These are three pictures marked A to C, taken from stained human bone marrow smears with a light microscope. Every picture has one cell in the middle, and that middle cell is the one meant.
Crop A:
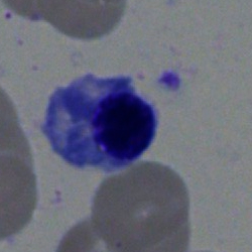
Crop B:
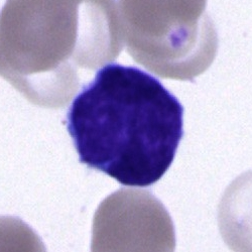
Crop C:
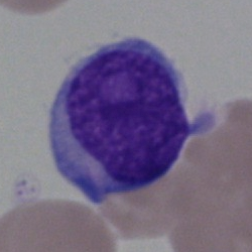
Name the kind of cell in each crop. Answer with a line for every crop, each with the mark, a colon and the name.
A: erythroblast
B: lymphocyte
C: blast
